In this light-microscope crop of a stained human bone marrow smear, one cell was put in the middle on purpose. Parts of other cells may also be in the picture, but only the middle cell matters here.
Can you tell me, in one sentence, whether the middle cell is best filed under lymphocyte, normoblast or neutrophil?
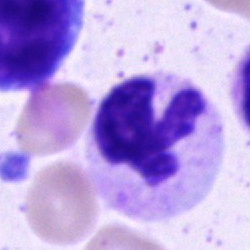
This crop's central cell is a neutrophil.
